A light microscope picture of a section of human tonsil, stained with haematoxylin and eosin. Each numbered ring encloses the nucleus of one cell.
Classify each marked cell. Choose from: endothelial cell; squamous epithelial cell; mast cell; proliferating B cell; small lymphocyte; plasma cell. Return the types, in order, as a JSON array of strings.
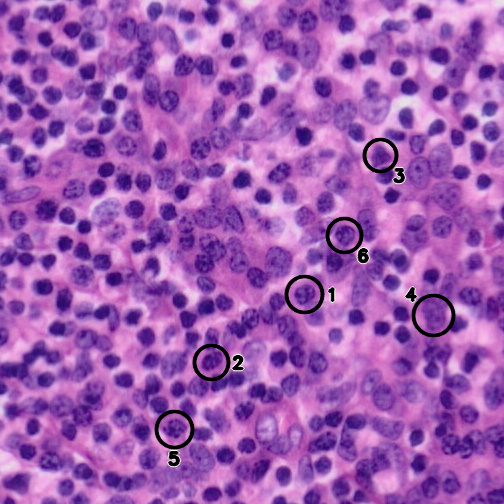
["plasma cell", "plasma cell", "squamous epithelial cell", "squamous epithelial cell", "plasma cell", "plasma cell"]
